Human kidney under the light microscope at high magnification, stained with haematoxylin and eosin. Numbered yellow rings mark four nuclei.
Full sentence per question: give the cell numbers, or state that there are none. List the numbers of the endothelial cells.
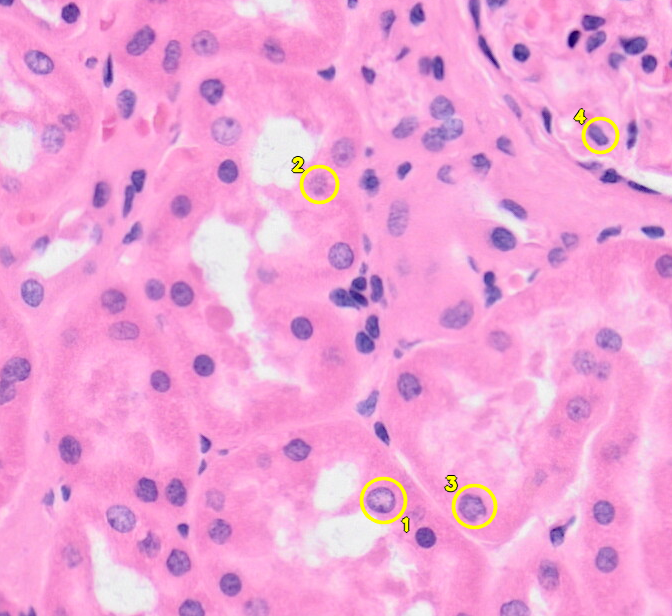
The cell marked by number 4 is an endothelial cell; the other marked cells are not.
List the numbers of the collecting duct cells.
None among the numbered cells are collecting duct cells.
